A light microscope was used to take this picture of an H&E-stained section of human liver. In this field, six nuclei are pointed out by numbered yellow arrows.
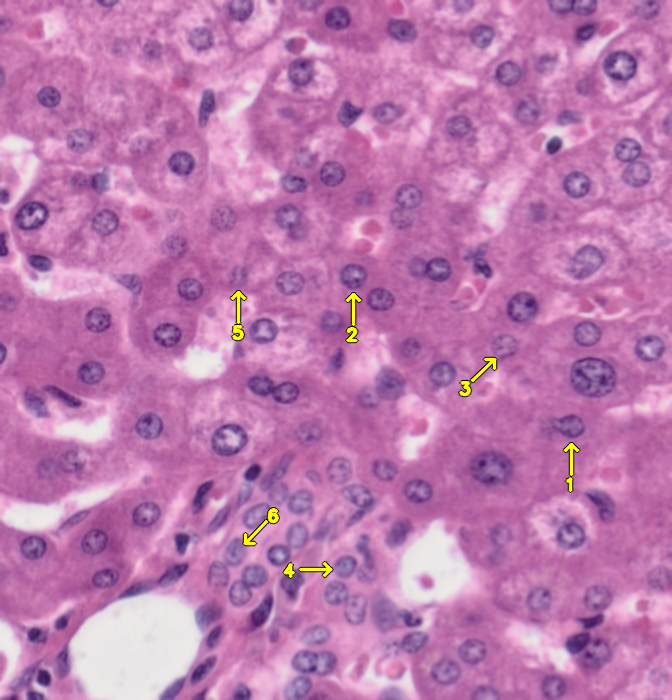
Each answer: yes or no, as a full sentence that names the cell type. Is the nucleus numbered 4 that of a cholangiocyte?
Yes, the cell carrying number 4 is a cholangiocyte.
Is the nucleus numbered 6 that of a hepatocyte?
No, it is a cholangiocyte, not a hepatocyte, that number 6 marks.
